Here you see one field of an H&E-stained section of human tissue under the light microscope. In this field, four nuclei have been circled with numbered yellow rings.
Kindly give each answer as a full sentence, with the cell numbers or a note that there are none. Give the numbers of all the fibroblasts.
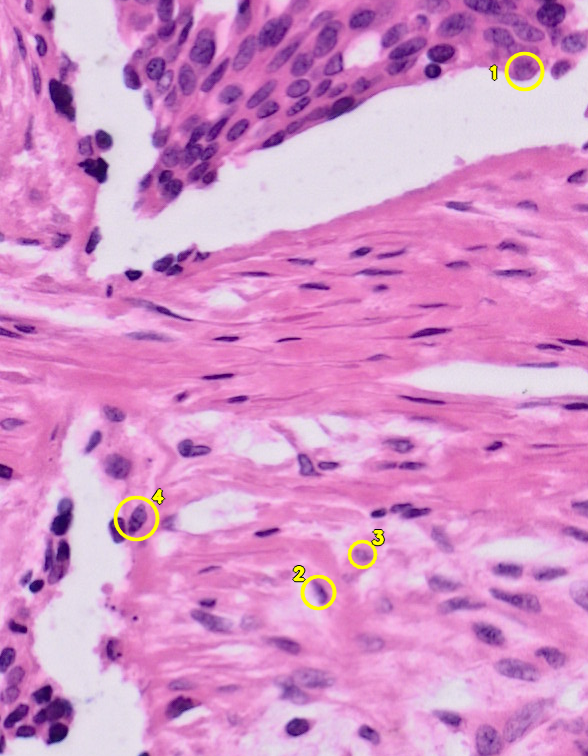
The cells referred to by numbers 2 and 3 are fibroblasts.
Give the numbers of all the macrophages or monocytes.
Of the marked cells, the one numbered 4 is a macrophage or monocyte and the rest are not.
